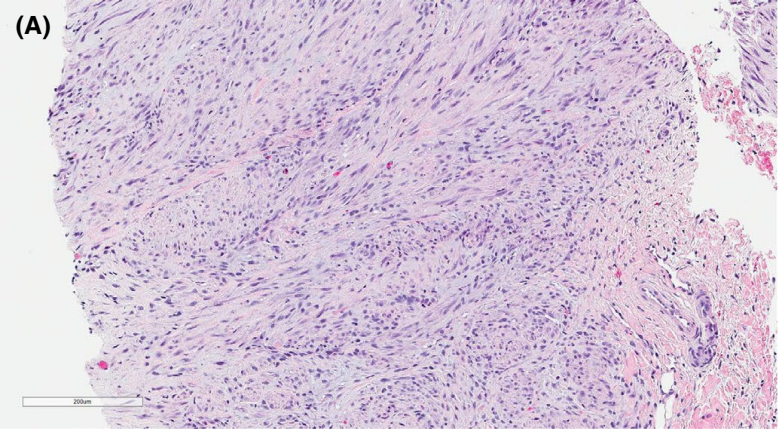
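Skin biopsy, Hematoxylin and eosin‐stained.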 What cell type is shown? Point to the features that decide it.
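Elongated cells with tapered, spindle-shaped dark purple nuclei. Cells aligned in long sweeping bundles. Pink cytoplasm between the nuclei. So: spindled cells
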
